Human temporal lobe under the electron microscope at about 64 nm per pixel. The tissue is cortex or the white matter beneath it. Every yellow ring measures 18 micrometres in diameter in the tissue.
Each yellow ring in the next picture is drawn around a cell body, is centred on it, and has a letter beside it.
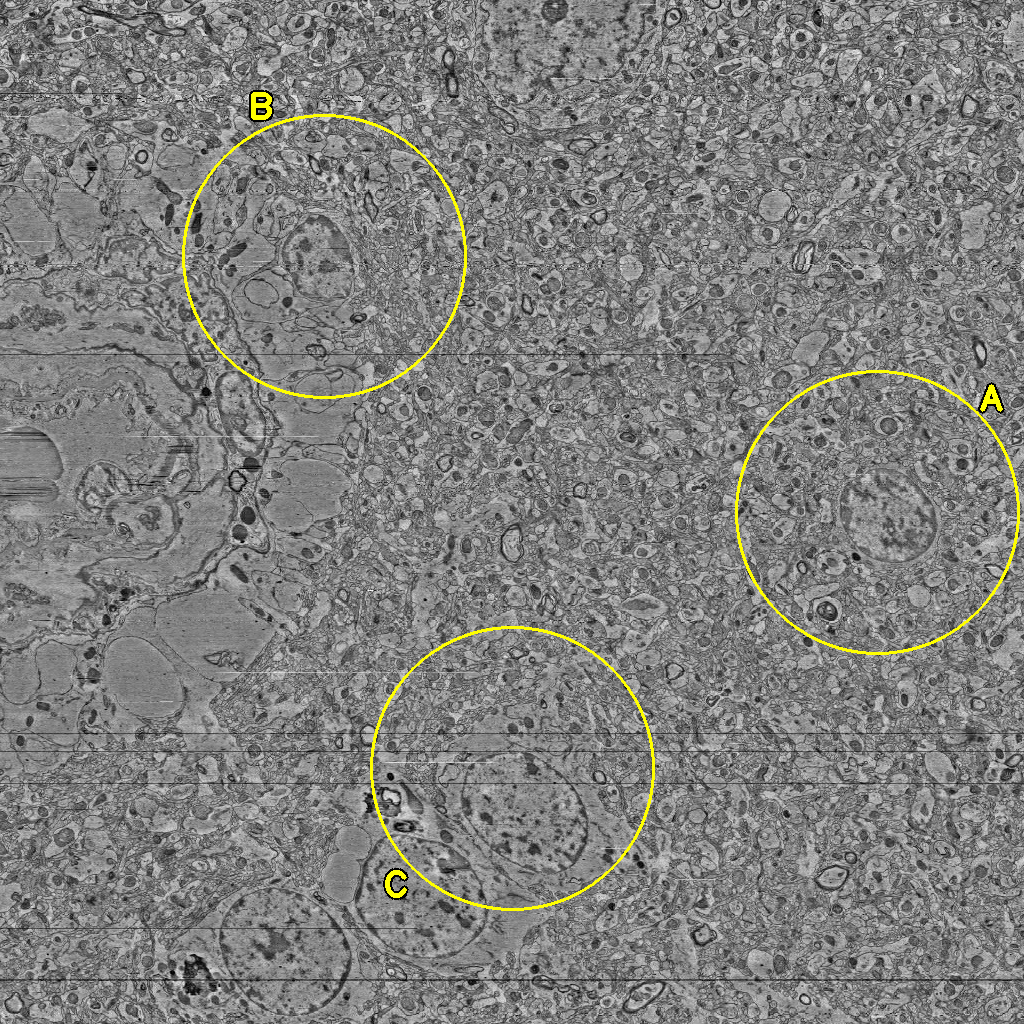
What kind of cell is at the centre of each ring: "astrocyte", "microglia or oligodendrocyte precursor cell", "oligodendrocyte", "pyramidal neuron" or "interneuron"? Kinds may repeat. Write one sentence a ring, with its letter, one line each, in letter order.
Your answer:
The centre of ring A falls on an oligodendrocyte.
The centre of ring B falls on a microglial cell or oligodendrocyte precursor cell.
The centre of ring C falls on an astrocyte.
